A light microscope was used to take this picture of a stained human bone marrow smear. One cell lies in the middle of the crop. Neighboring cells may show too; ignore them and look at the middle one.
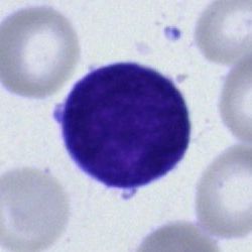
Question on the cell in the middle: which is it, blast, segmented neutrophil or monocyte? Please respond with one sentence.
The cell occupying the middle of the crop is a blast.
